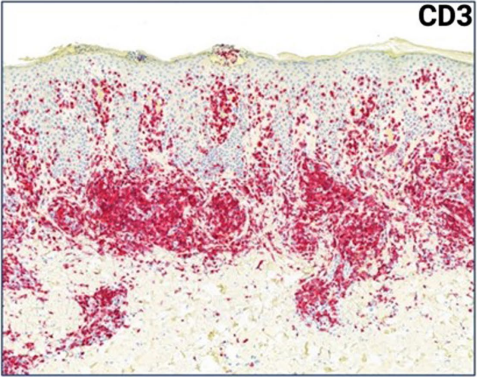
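This is skin in which most of the lymphocytes in the superficial dermis are stained red, forming a dense band beneath the epidermis. Red-stained cells also extend up into the dermal papillae and scatter within the epidermis. Smaller red clusters reach down into the deeper dermis, while the epidermal keratinocytes stay unstained and blue.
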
